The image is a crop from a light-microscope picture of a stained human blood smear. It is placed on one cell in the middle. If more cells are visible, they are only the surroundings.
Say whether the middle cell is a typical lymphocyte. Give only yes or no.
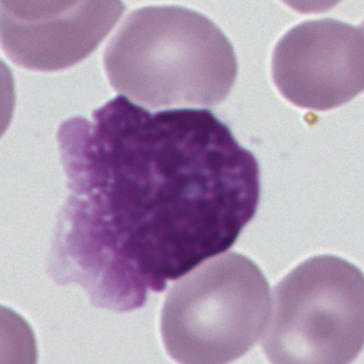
no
